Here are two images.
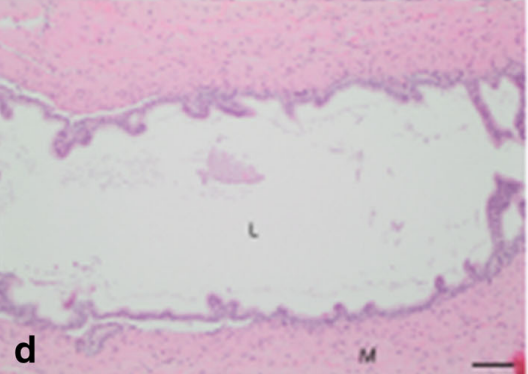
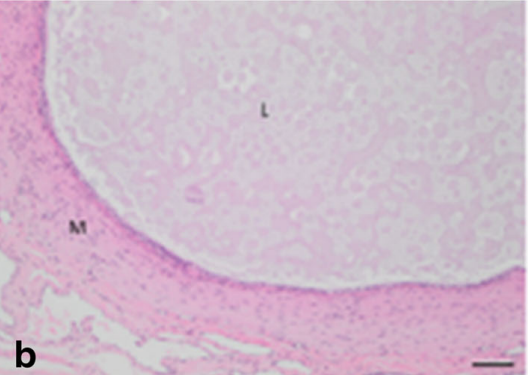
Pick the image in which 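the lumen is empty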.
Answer: The first image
